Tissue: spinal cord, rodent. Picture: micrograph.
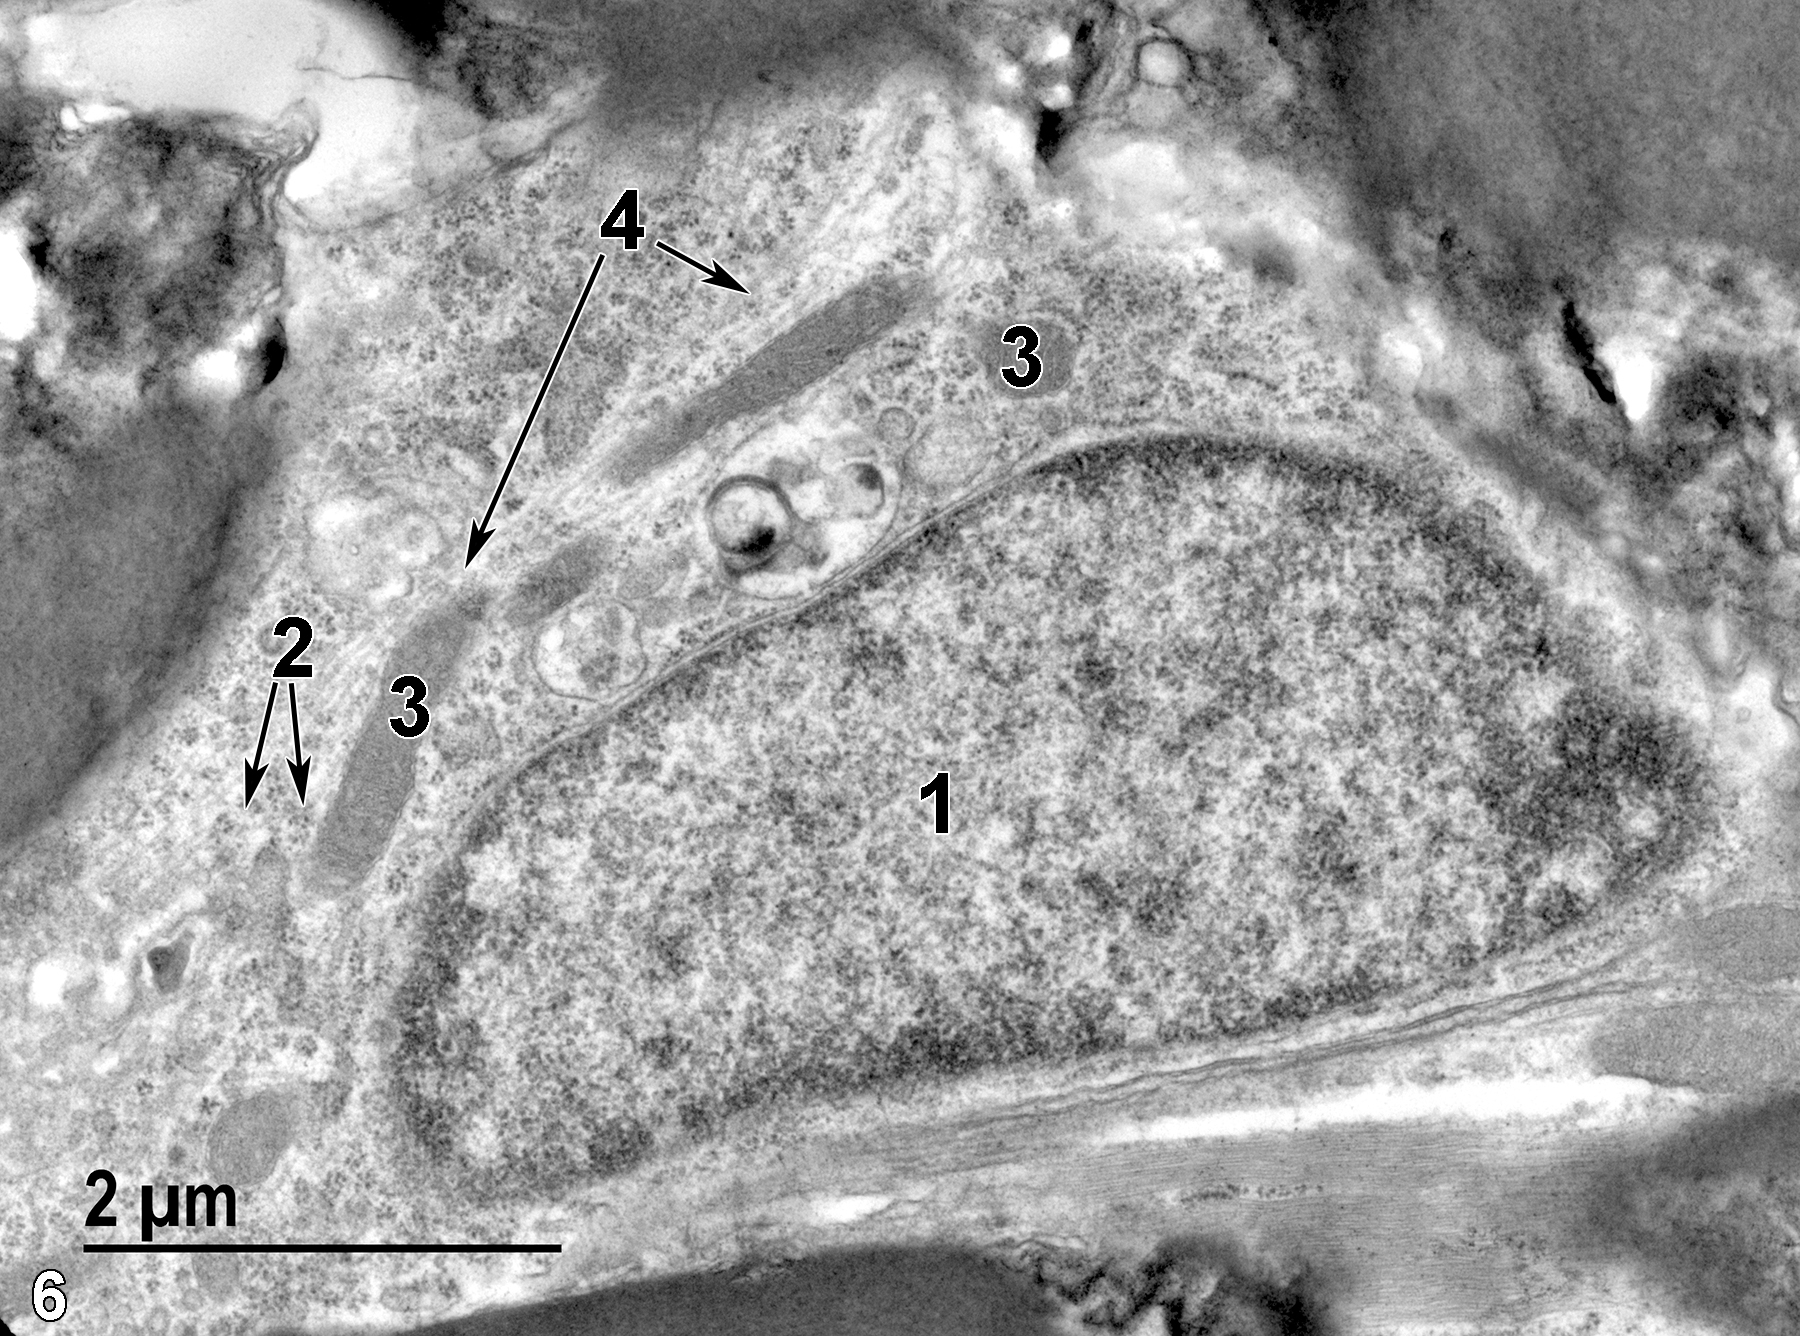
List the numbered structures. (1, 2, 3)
1: elongated nucleus
2: clusters of free ribosomes
3: mitochondria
